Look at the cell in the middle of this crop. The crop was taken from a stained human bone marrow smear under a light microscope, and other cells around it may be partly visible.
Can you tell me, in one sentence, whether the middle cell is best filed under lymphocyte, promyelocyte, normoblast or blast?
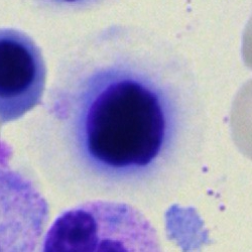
The cell at the middle of the frame should be recorded as a normoblast.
